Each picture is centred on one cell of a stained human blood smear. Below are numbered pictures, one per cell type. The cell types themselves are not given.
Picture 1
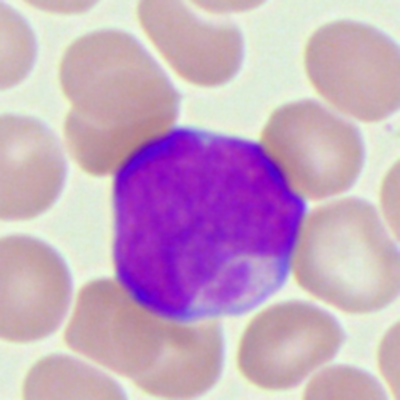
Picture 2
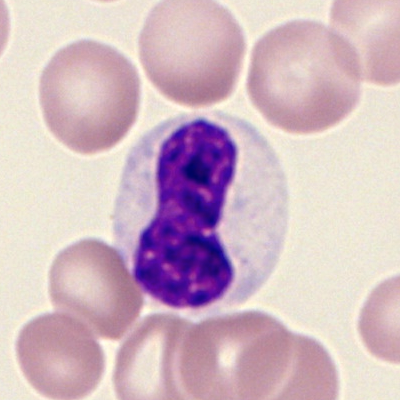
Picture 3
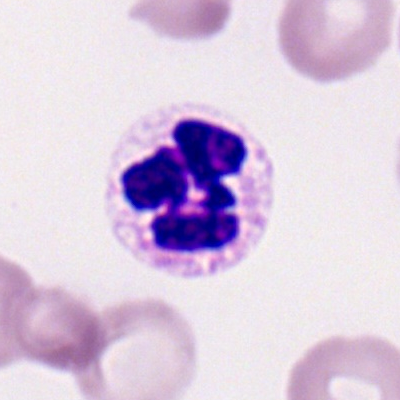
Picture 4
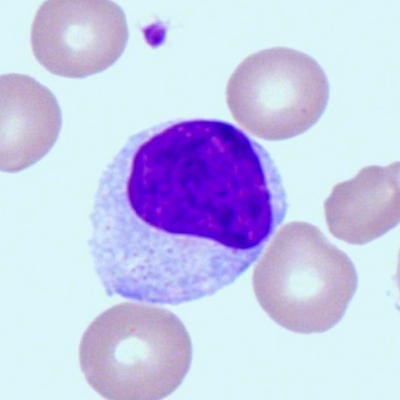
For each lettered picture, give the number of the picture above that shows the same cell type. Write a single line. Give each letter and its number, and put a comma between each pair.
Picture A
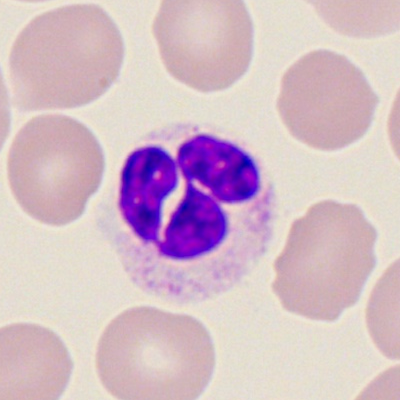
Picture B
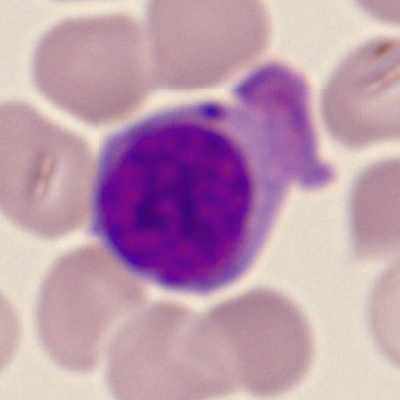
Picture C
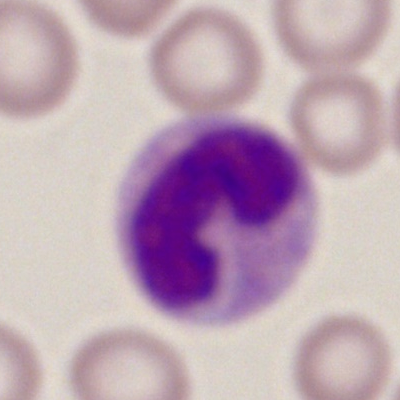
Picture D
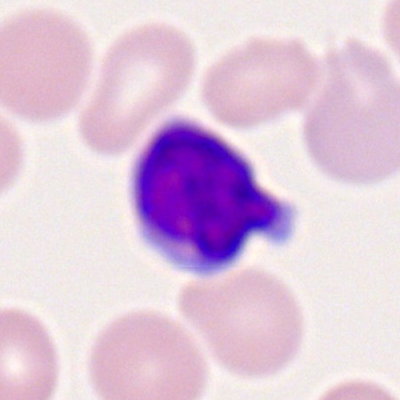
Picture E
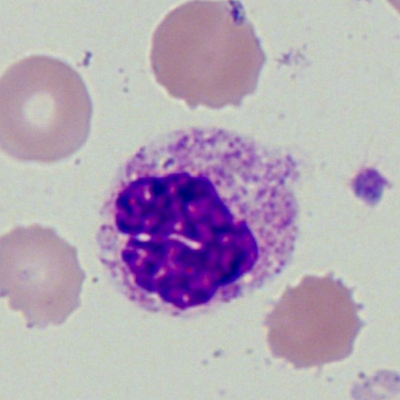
A 3, B 1, C 2, D 4, E 2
